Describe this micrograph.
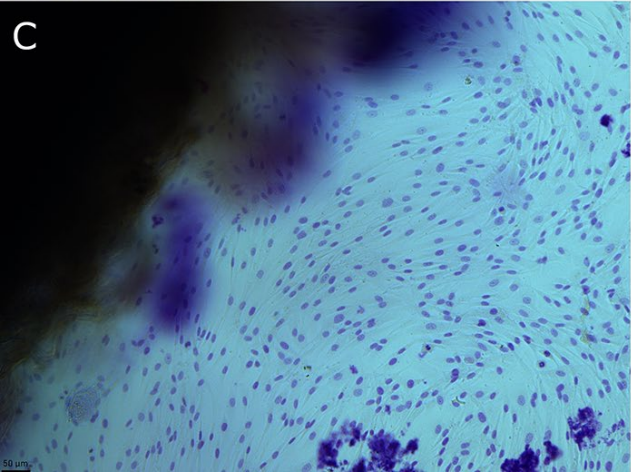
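The cells are spindle-shaped with long, pale, fibrillar cytoplasm and are aligned in parallel streams that sweep across the field. Their nuclei are oval and stained violet, one per cell. At the upper left lies a dark, out-of-focus mass with purple-stained areas along its margin, and cells grow right up to it. Near the bottom, a few clumps of intensely dark purple granular material lie on top of the layer. The monolayer otherwise appears continuous, without obvious gaps.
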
